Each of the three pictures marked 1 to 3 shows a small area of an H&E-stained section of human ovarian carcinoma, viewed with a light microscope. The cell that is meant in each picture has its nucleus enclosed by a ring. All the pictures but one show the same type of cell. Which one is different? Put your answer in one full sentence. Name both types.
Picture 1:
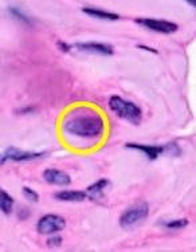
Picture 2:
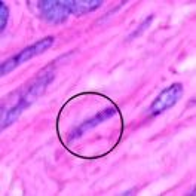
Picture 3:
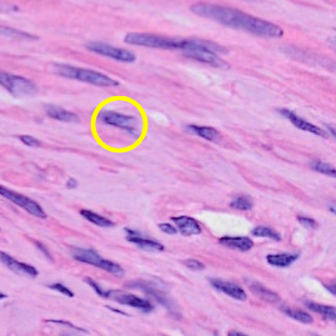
Unlike the rest, which show smooth muscle cells, picture 2 shows a fibroblast.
